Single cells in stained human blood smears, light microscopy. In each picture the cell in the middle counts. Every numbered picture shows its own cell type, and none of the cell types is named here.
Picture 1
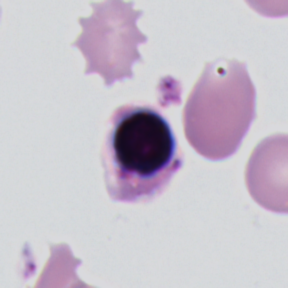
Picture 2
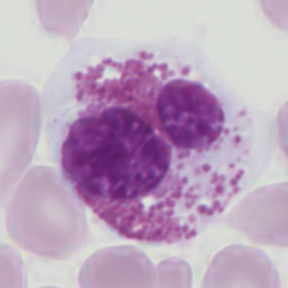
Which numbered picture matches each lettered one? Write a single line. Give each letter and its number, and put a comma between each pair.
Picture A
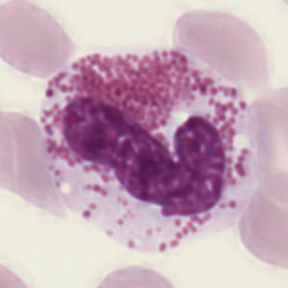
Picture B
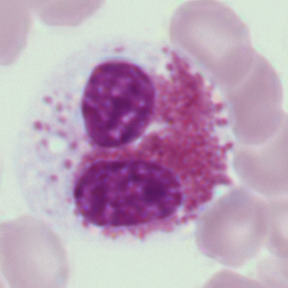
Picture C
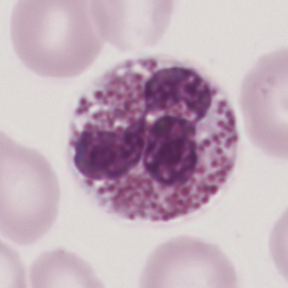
A 2, B 2, C 2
